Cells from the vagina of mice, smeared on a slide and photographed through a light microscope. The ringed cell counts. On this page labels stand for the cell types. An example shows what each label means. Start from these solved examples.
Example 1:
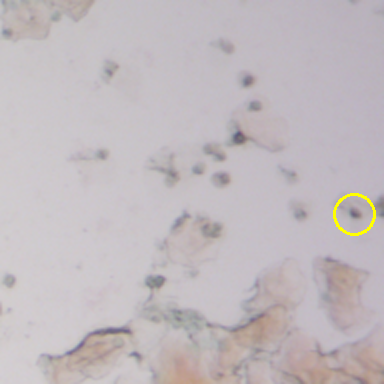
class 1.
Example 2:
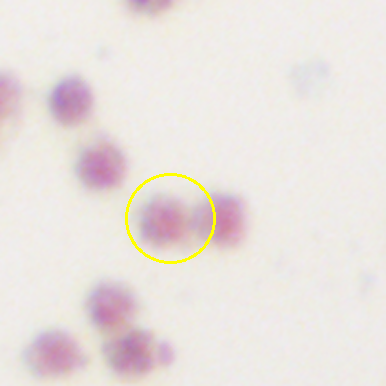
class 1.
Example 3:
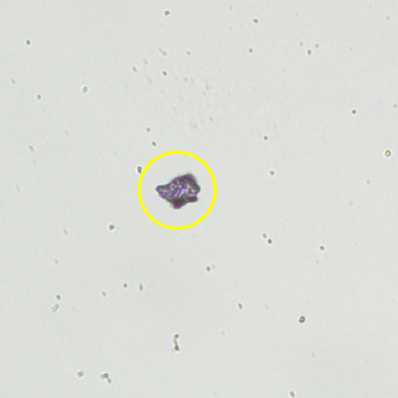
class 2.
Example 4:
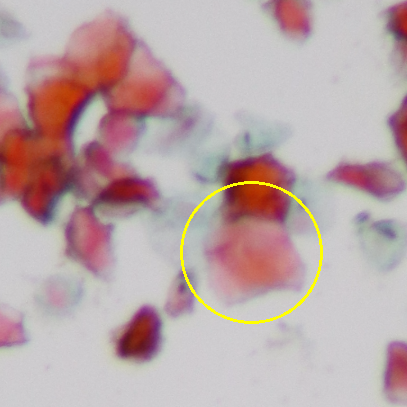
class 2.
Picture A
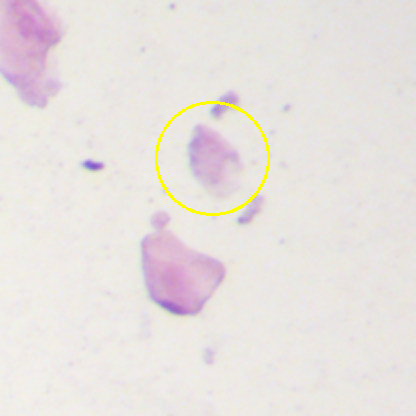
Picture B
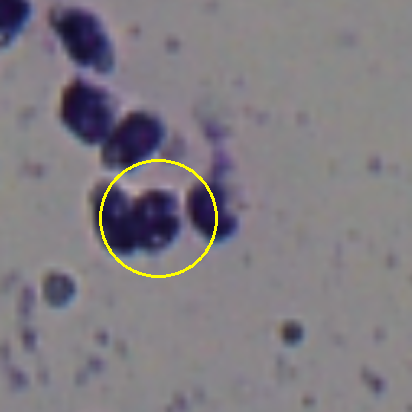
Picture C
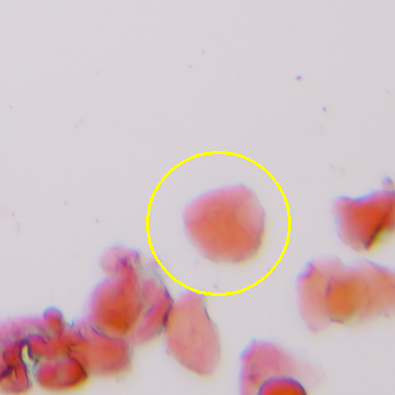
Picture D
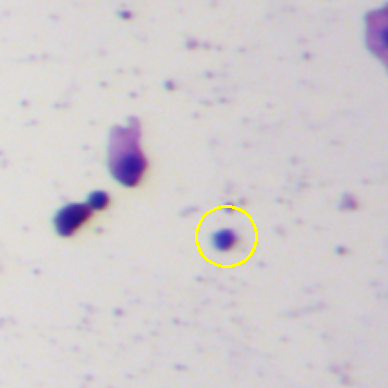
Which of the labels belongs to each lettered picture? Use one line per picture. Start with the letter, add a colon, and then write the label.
A: class 2.
B: class 1.
C: class 2.
D: class 1.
